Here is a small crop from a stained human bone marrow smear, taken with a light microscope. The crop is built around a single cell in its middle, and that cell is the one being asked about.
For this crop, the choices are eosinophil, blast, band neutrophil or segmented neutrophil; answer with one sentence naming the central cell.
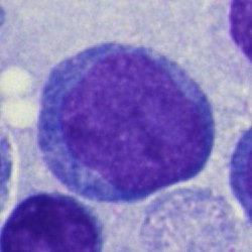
Standing at the centre of this crop is a blast.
